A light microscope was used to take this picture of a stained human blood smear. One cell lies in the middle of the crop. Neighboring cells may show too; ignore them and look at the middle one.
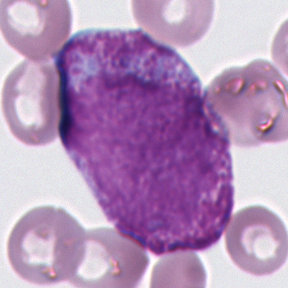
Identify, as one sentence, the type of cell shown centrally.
Positioned in the middle of the crop is an atypical promyelocyte.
